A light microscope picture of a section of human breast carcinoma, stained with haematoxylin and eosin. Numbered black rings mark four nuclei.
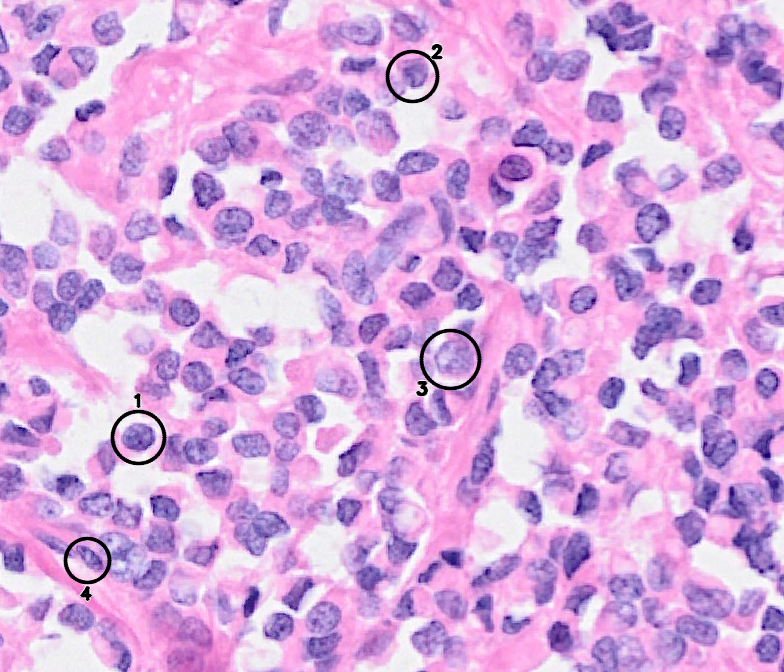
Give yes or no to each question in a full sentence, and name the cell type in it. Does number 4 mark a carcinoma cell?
No, cell 4 is to be read as an endothelial cell, not a carcinoma cell.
